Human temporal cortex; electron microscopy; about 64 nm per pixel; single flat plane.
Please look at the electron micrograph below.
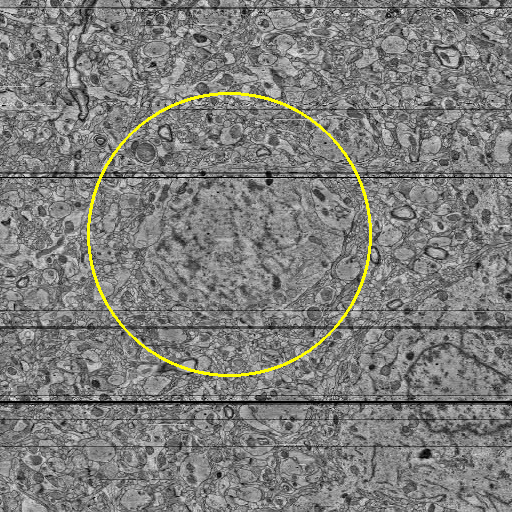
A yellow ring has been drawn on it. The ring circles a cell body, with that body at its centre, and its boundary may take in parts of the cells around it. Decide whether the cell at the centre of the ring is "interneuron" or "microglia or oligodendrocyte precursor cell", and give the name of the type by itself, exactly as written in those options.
interneuron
